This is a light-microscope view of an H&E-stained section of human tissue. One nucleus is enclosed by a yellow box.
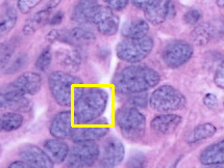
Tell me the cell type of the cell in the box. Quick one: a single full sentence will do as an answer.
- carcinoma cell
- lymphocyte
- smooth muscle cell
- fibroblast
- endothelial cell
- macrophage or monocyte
On this particular slide, the cell in the box is a carcinoma cell.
